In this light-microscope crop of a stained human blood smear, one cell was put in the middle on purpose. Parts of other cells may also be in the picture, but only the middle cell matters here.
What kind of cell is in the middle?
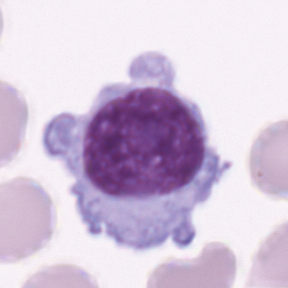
plasma cell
